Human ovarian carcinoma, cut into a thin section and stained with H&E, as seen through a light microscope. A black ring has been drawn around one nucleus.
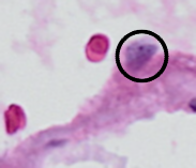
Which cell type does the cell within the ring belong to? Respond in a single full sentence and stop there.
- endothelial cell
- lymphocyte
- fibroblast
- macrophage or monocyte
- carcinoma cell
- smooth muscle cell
In this preparation, the cell within the ring is an endothelial cell.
